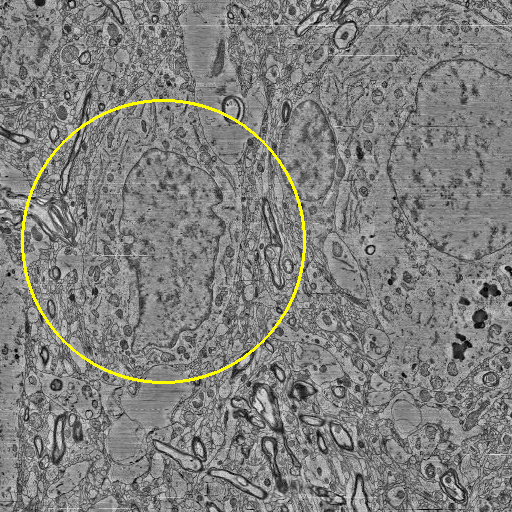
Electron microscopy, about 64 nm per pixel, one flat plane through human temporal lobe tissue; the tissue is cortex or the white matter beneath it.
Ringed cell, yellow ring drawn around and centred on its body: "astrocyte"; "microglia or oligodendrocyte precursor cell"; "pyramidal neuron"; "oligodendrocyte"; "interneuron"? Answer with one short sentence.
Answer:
This ringed cell is an interneuron.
